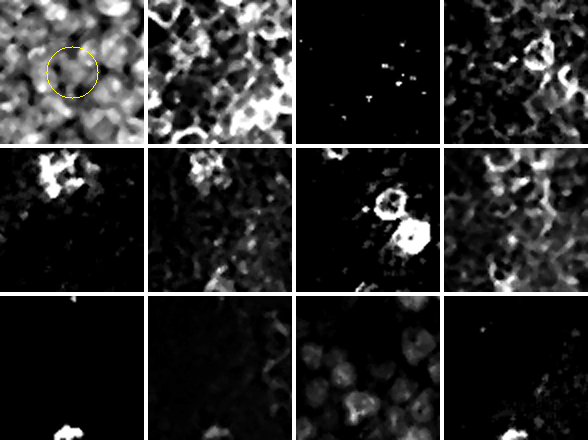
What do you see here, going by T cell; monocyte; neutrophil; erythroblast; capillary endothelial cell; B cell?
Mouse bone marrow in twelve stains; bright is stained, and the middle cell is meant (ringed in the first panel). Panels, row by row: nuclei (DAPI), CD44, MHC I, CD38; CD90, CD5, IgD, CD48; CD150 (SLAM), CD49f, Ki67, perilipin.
I see an erythroblast.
